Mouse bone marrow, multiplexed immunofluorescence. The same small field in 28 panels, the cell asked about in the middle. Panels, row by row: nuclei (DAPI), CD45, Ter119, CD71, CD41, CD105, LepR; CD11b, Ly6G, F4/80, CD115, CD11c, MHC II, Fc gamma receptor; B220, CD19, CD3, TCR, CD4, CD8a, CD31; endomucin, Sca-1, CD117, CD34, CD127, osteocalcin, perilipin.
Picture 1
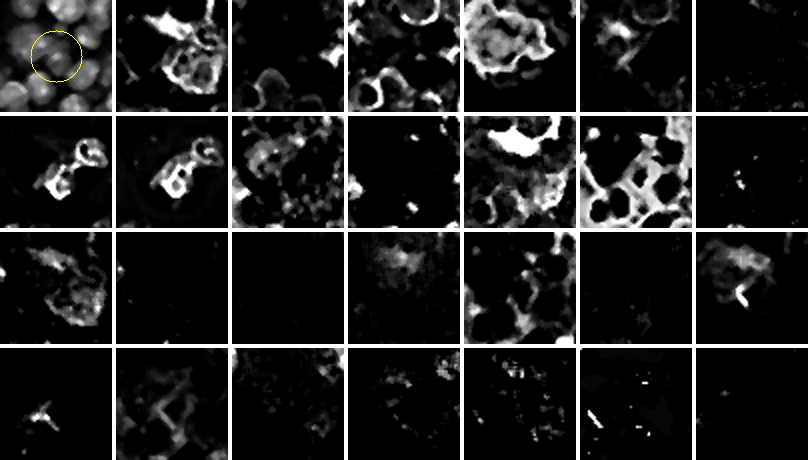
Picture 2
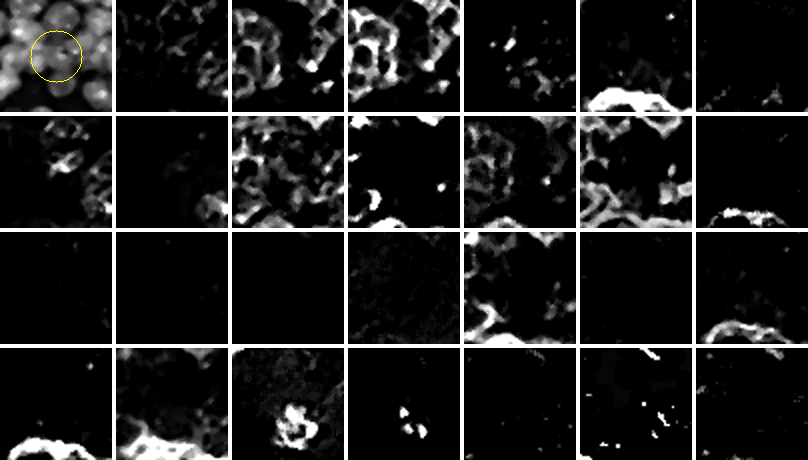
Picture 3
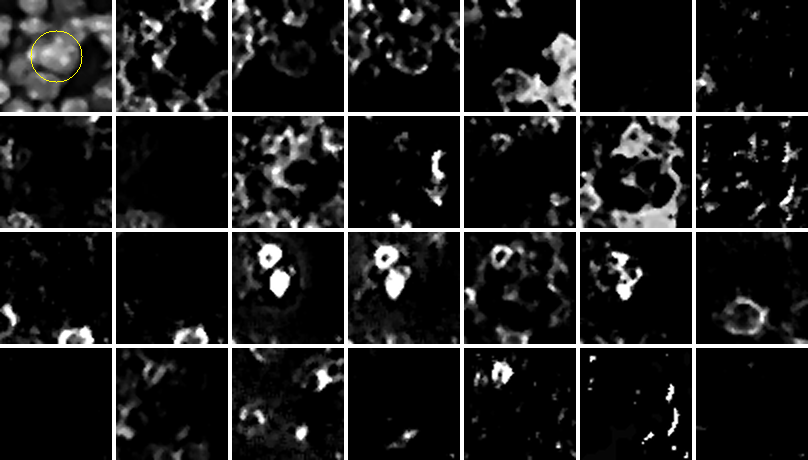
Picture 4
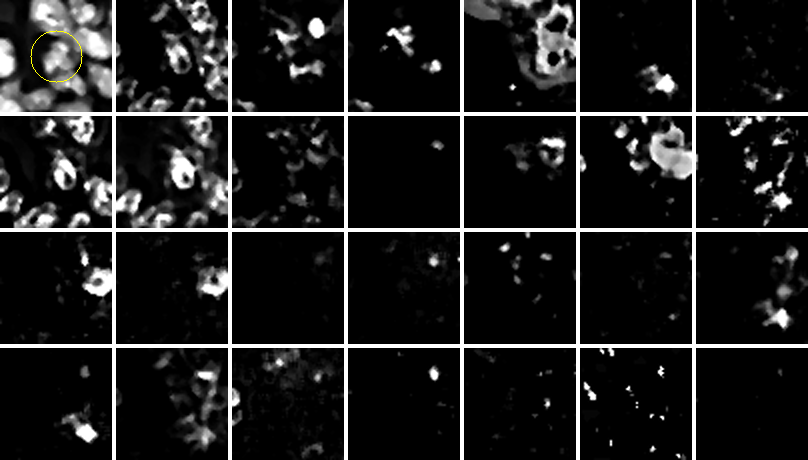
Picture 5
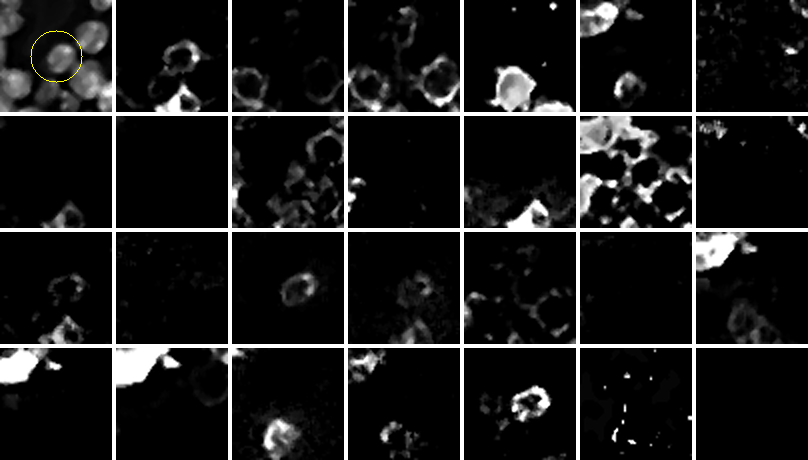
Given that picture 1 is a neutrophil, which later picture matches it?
4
